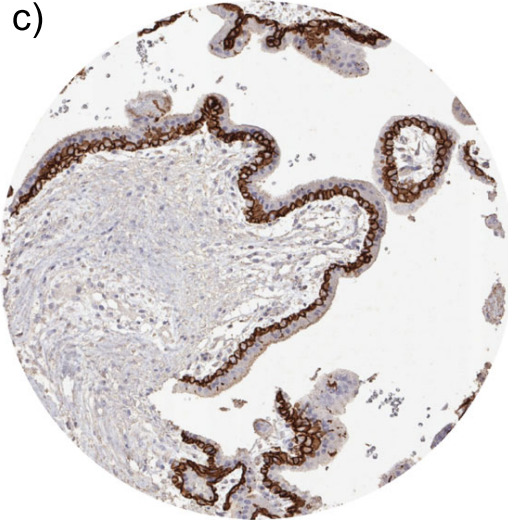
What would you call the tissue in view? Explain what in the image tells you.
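Placenta. Villous structures with loose stroma are covered by a thin epithelial layer. Villi float in an open space with scattered red cells.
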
